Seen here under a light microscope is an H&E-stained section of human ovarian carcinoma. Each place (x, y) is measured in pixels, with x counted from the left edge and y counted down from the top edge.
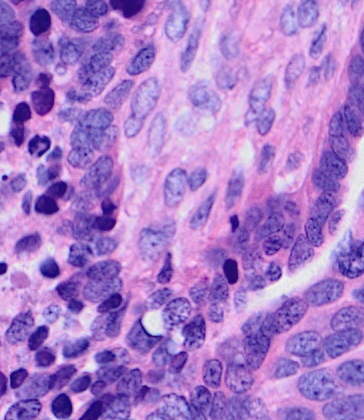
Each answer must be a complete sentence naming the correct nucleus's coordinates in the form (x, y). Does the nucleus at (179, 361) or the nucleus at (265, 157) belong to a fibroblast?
Of the two nuclei, that at (265, 157) is the nucleus of a fibroblast.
